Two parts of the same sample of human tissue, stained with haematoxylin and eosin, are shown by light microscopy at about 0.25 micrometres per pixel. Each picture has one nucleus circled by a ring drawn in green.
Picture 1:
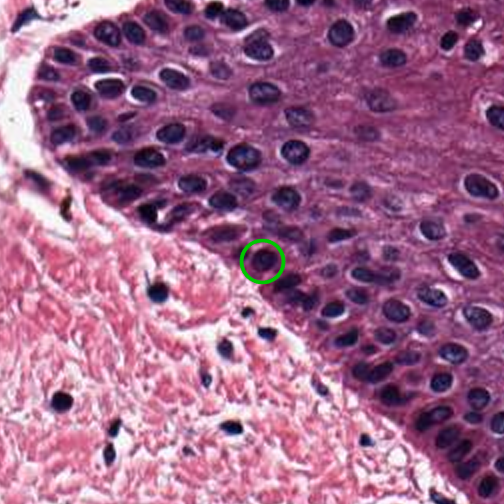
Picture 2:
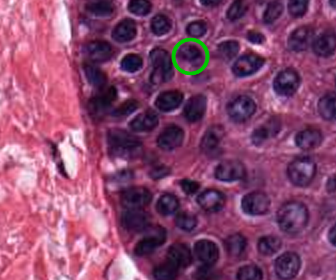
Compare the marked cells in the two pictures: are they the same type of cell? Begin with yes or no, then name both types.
Yes, both are squamous epithelial cells.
